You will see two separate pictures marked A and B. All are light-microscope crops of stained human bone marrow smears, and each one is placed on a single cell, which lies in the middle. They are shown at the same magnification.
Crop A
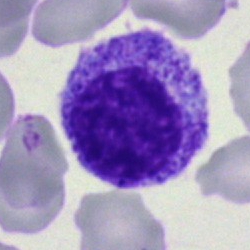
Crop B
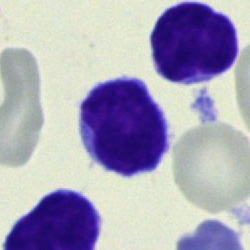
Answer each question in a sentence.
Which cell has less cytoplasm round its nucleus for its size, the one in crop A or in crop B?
In crop B the nucleus takes up the larger part of its cell.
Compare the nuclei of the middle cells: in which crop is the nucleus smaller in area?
Smaller is the nucleus in crop B, and the other is about 1.5 times as large in area.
